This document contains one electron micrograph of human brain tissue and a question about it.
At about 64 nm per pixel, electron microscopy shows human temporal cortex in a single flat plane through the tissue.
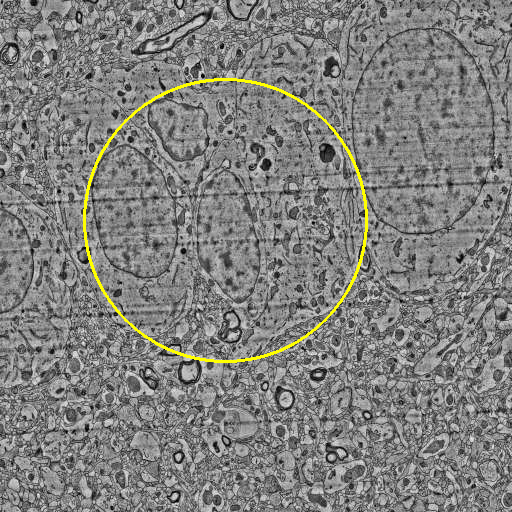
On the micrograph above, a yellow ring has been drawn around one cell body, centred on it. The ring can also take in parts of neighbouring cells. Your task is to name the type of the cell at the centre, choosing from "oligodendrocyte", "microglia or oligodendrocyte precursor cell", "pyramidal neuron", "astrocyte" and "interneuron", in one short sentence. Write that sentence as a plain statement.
Here the ring is centred on a microglial cell or oligodendrocyte precursor cell.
